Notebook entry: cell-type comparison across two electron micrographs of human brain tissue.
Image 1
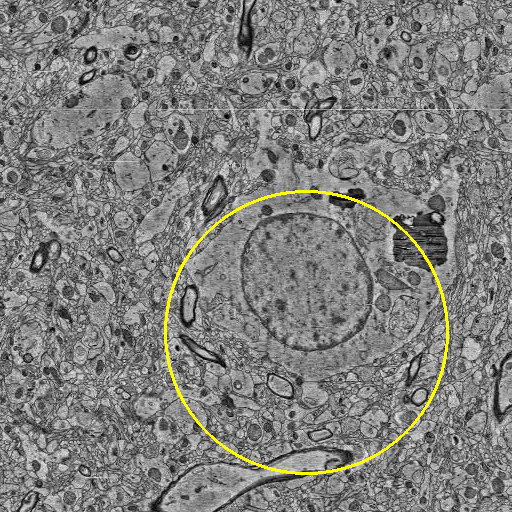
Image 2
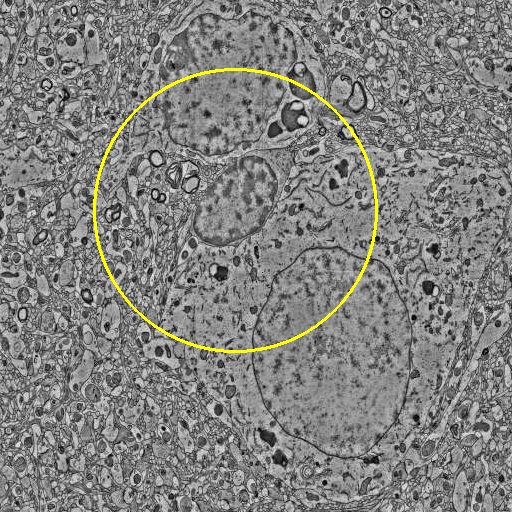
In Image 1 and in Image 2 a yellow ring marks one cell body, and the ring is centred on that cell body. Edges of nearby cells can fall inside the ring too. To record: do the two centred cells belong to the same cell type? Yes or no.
no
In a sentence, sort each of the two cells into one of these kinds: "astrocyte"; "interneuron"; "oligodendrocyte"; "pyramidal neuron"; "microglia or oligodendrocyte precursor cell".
The first of the two cells is an astrocyte, and the second is an oligodendrocyte.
